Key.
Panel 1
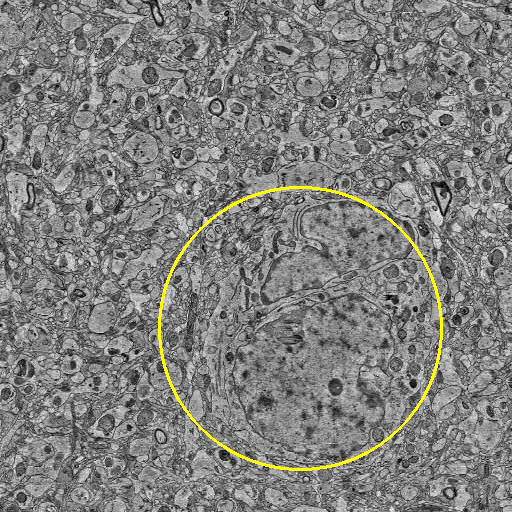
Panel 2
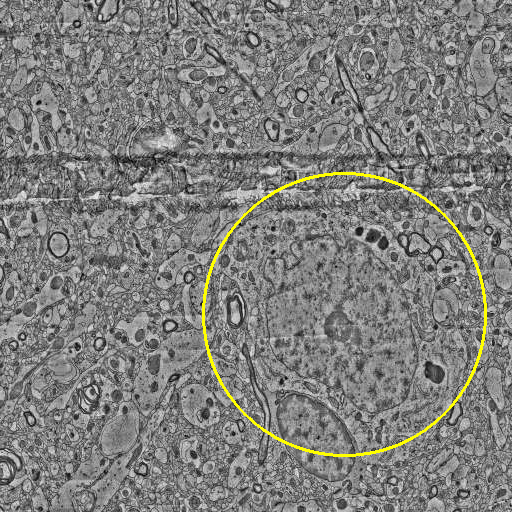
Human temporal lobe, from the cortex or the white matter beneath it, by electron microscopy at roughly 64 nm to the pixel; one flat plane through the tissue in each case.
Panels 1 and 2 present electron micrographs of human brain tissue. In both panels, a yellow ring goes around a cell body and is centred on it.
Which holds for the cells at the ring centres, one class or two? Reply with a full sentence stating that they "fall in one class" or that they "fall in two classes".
Taken together, the ring-centre cells of the two panels fall in one class.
